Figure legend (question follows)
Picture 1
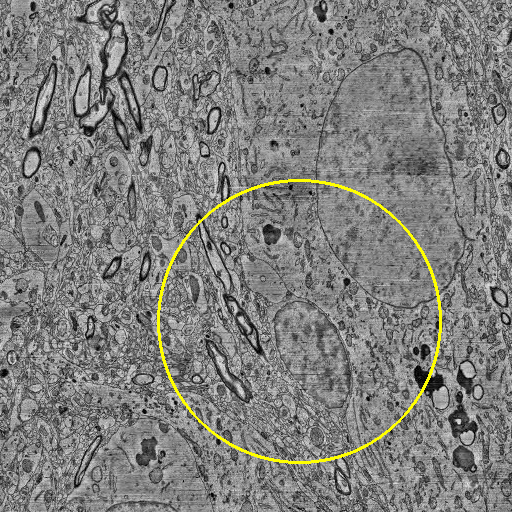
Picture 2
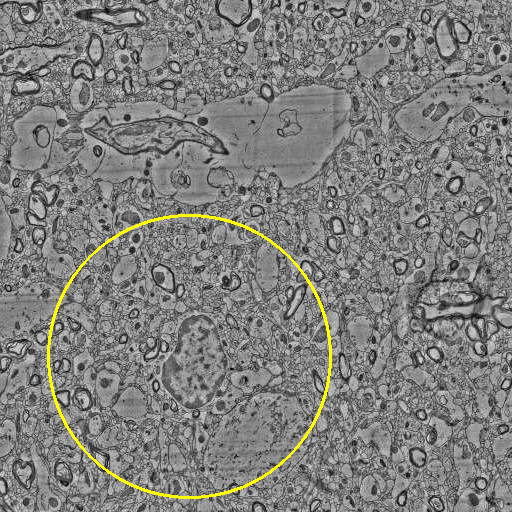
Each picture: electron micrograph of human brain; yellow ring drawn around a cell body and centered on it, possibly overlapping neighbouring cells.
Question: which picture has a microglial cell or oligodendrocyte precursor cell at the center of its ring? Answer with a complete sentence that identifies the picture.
Picture 2 has it at the center of its ring.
